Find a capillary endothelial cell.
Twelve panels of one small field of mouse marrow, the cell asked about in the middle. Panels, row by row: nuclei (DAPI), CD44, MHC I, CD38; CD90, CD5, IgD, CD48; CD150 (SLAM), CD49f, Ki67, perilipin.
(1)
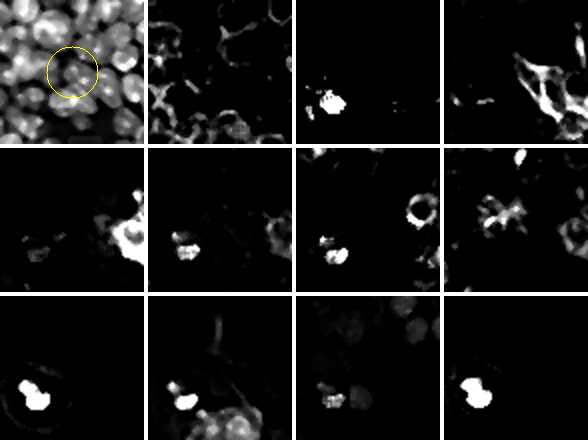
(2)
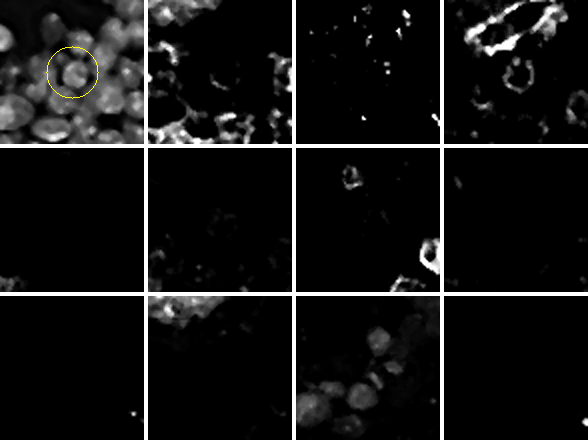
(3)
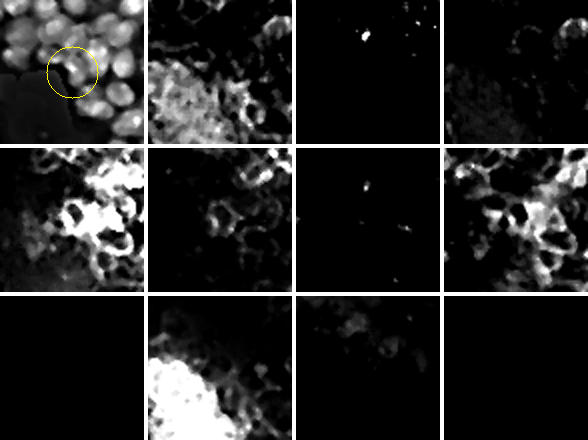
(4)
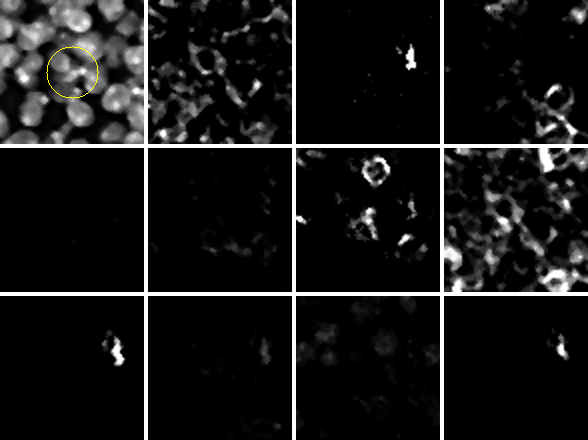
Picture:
1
